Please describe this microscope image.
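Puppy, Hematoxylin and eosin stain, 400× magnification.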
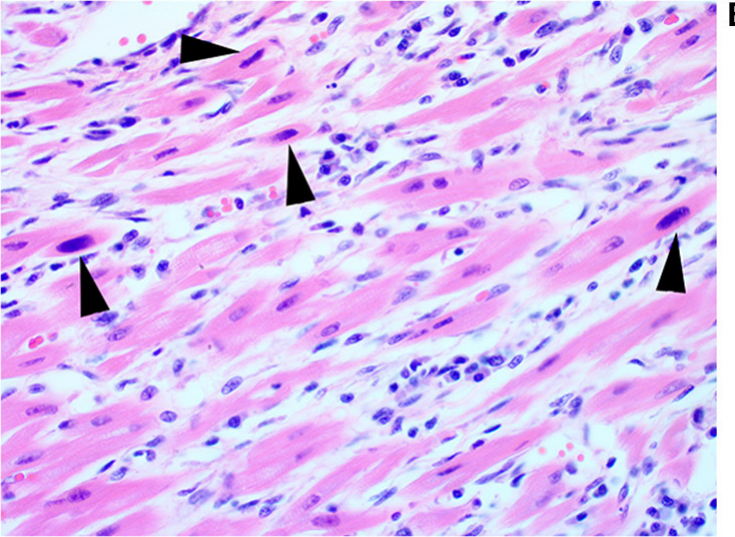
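This is heart muscle cut lengthwise, with pink cardiomyocytes running in parallel, each with a central oval nucleus. Several cardiomyocyte nuclei are enlarged and filled by a dense, dark purple intranuclear inclusion. The interstitium between the fibres is widened and holds scattered spindle-shaped fibroblasts and small round lymphocytes and plasma cells.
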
